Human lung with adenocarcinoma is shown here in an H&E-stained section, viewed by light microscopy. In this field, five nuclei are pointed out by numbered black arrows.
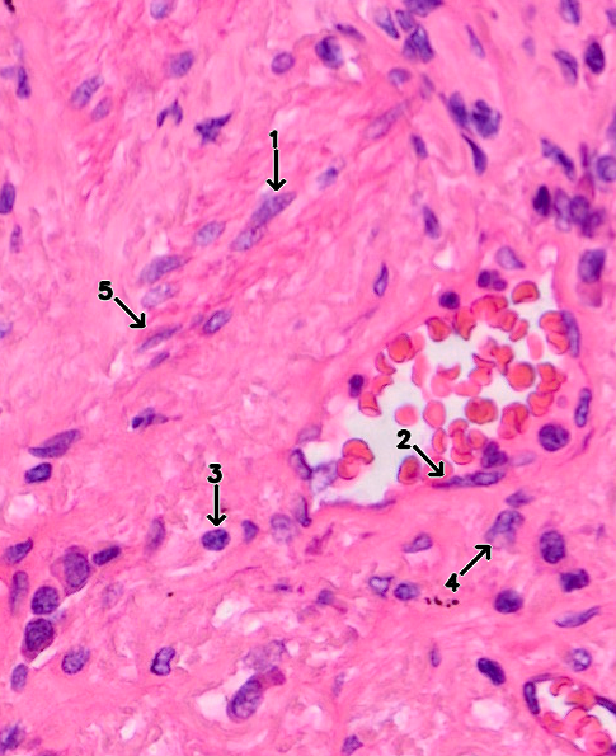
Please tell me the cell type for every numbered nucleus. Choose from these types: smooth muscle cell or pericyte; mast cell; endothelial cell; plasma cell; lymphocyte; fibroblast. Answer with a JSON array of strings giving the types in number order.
["smooth muscle cell or pericyte", "endothelial cell", "lymphocyte", "fibroblast", "smooth muscle cell or pericyte"]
